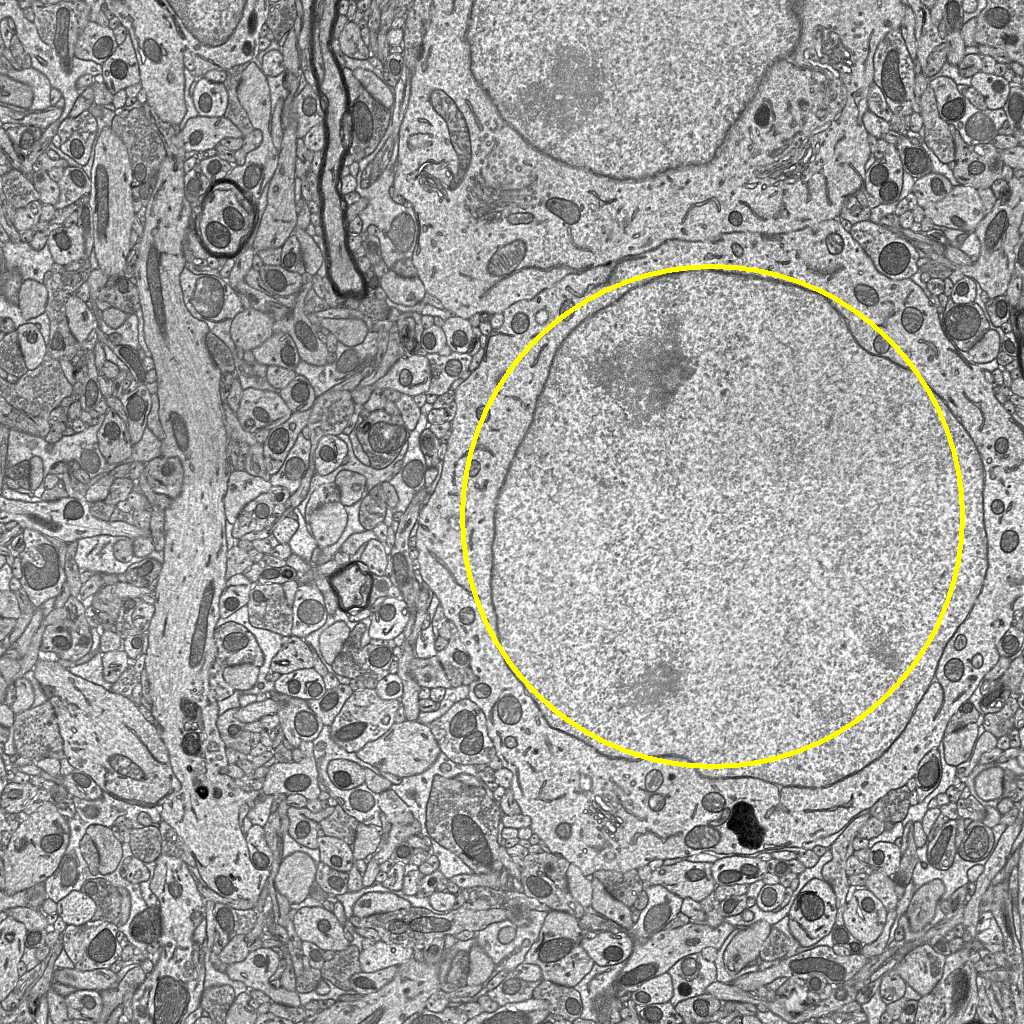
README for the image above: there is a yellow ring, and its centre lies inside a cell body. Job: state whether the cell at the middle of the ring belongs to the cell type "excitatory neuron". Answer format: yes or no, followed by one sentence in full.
Yes, the cell lying at the middle of the ring in the image belongs to that type.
